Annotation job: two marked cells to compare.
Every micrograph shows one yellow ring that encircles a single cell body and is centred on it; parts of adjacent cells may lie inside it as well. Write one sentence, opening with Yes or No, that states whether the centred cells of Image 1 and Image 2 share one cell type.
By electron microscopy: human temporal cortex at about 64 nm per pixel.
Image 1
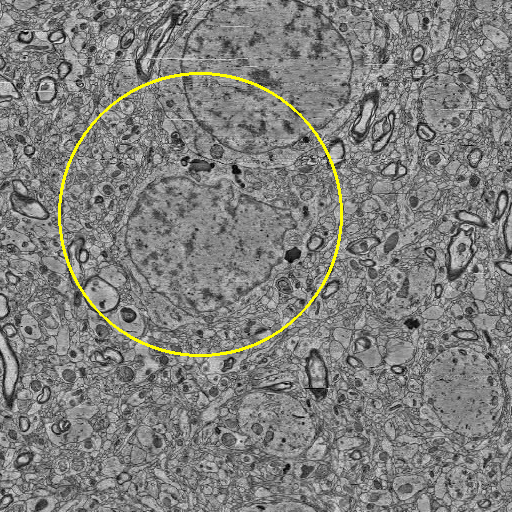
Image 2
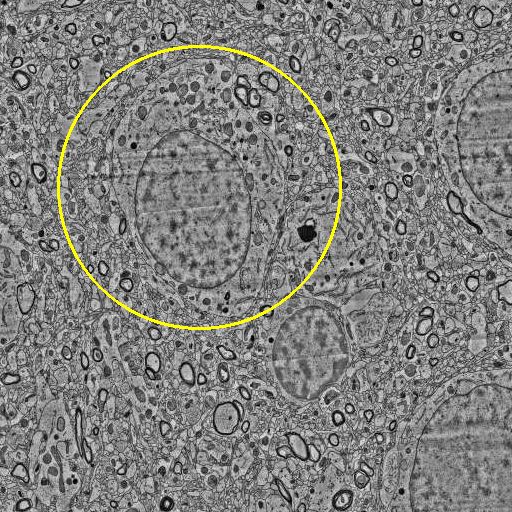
Yes, the cell centred in Image 1 shares its type with the cell centred in Image 2.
